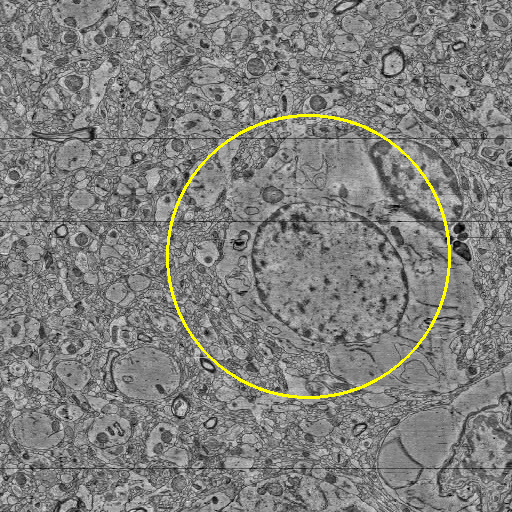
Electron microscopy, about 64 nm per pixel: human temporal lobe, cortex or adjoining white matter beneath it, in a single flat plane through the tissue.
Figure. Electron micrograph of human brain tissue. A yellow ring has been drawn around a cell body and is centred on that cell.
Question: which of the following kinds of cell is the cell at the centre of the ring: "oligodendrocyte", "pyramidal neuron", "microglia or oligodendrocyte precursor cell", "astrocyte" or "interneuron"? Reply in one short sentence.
The cell at the centre of the ring is an astrocyte.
